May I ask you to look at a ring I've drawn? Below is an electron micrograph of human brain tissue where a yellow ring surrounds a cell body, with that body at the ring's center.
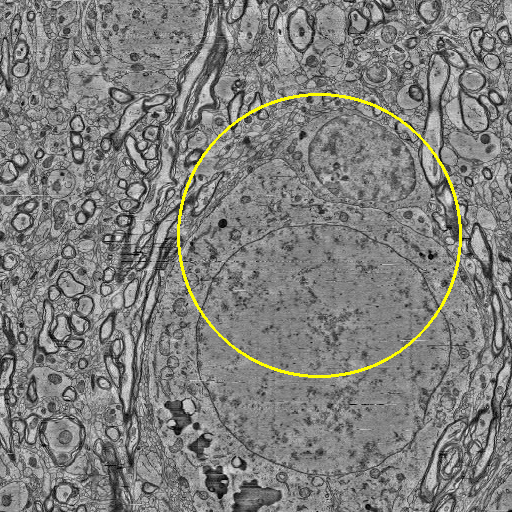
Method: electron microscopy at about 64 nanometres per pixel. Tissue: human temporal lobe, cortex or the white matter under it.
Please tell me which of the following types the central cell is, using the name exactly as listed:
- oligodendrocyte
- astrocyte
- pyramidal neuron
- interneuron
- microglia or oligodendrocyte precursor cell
pyramidal neuron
